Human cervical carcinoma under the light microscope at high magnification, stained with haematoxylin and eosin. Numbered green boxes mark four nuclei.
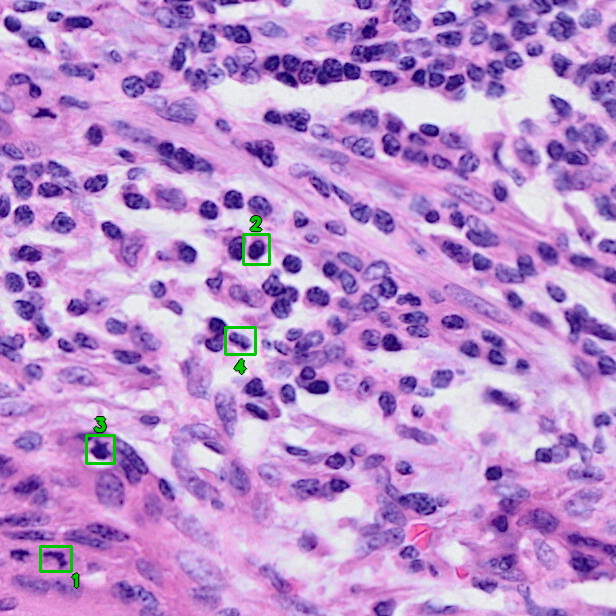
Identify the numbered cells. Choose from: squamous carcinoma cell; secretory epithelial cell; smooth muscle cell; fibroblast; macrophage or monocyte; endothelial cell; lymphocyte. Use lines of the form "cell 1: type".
cell 1: squamous carcinoma cell
cell 2: lymphocyte
cell 3: lymphocyte
cell 4: lymphocyte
